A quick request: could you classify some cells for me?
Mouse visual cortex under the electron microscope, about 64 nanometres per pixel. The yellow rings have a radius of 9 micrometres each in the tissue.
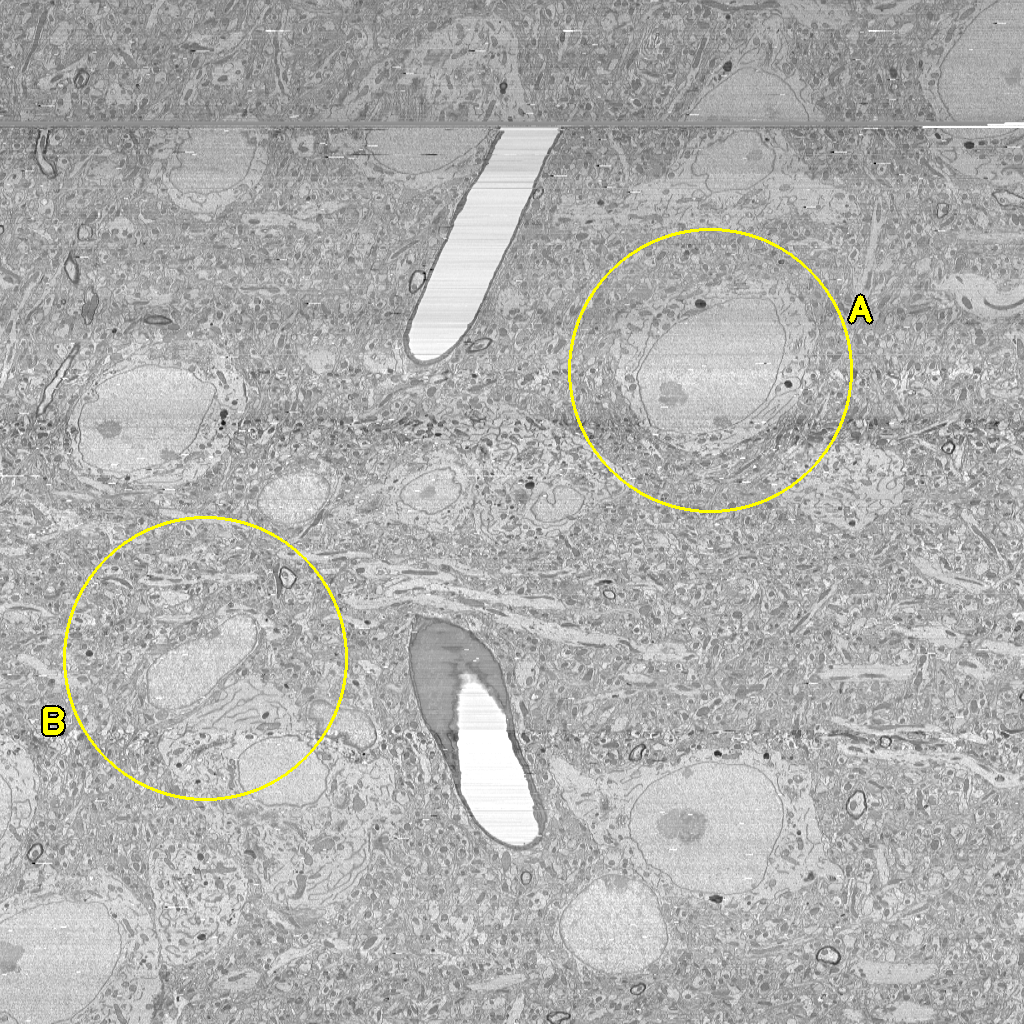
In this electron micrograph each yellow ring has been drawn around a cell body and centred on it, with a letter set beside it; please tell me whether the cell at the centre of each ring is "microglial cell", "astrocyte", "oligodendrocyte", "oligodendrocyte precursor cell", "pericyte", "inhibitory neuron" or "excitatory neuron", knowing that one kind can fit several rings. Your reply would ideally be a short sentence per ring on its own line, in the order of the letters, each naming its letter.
Ring A has an excitatory neuron at its centre.
Ring B has an astrocyte at its centre.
